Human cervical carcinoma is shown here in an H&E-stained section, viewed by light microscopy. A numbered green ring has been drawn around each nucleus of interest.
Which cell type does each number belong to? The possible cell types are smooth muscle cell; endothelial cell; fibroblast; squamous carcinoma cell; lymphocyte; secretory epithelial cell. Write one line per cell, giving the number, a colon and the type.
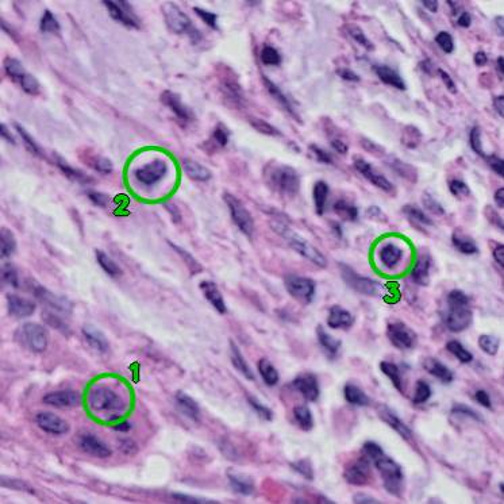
1: squamous carcinoma cell
2: lymphocyte
3: lymphocyte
